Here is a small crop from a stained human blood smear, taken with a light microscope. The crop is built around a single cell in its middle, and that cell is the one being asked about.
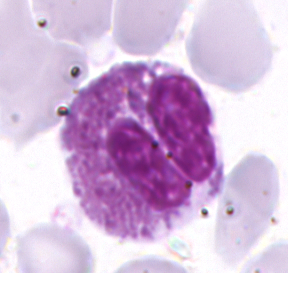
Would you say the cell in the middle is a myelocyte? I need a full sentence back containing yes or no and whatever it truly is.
No, in the middle of the crop there is an eosinophil rather than a myelocyte.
